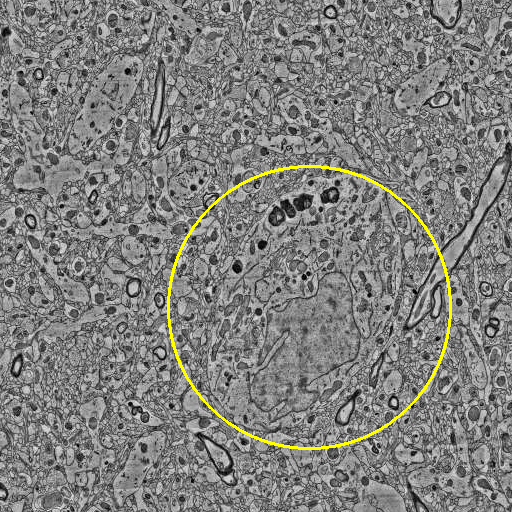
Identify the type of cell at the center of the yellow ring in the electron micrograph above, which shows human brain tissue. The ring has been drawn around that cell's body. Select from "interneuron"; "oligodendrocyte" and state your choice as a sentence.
The yellow ring is centered on the body of an interneuron.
